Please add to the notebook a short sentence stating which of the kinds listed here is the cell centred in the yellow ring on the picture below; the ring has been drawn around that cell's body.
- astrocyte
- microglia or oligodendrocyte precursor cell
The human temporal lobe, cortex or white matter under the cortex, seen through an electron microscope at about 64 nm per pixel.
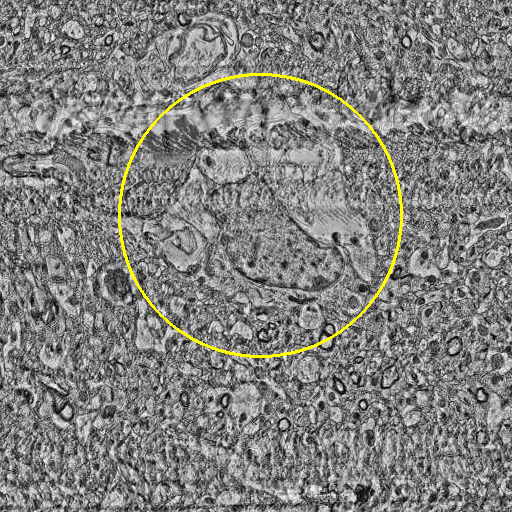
The cell centred in the yellow ring is a microglial cell or oligodendrocyte precursor cell.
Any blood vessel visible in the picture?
Yes, a blood vessel is present in this picture.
